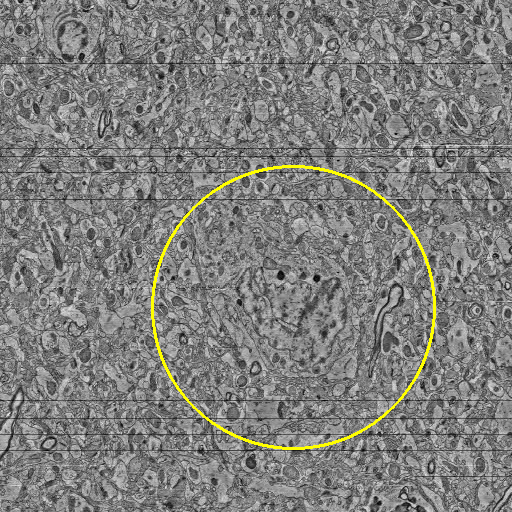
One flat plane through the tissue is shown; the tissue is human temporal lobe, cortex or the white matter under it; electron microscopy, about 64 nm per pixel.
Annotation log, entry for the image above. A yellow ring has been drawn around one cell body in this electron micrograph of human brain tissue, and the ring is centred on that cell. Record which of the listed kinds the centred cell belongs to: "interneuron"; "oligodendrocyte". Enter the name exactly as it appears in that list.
interneuron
